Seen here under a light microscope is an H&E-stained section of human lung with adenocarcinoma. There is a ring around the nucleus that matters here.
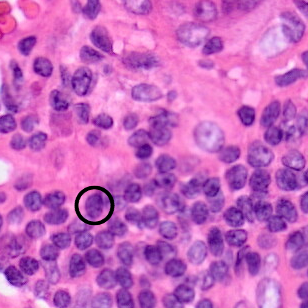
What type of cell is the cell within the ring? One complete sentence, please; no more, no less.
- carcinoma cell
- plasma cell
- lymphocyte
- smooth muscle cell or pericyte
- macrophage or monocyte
In cellular terms, the cell within the ring is a lymphocyte.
